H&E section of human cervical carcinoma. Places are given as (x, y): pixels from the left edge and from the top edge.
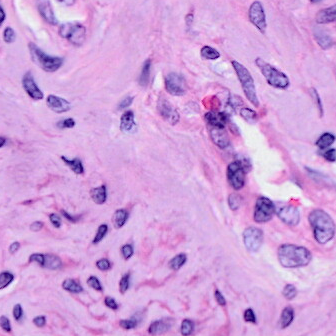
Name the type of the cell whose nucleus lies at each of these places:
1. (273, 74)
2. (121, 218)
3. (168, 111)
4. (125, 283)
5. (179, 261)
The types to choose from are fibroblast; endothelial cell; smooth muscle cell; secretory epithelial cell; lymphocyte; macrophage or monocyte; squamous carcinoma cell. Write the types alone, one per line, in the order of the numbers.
fibroblast
smooth muscle cell
endothelial cell
smooth muscle cell
smooth muscle cell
